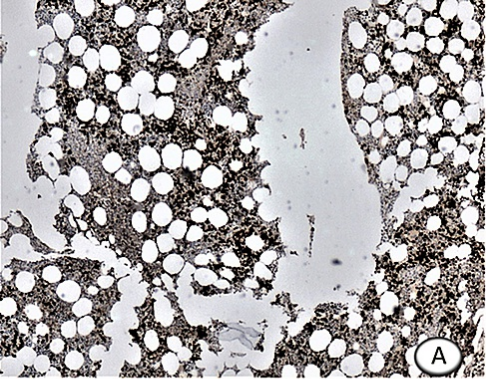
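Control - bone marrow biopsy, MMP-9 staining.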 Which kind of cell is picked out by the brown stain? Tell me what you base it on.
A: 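Hematopoietic cells. Densely packed small cells fill the spaces between many round empty fat vacuoles. The packed cells are stained dark brown.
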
